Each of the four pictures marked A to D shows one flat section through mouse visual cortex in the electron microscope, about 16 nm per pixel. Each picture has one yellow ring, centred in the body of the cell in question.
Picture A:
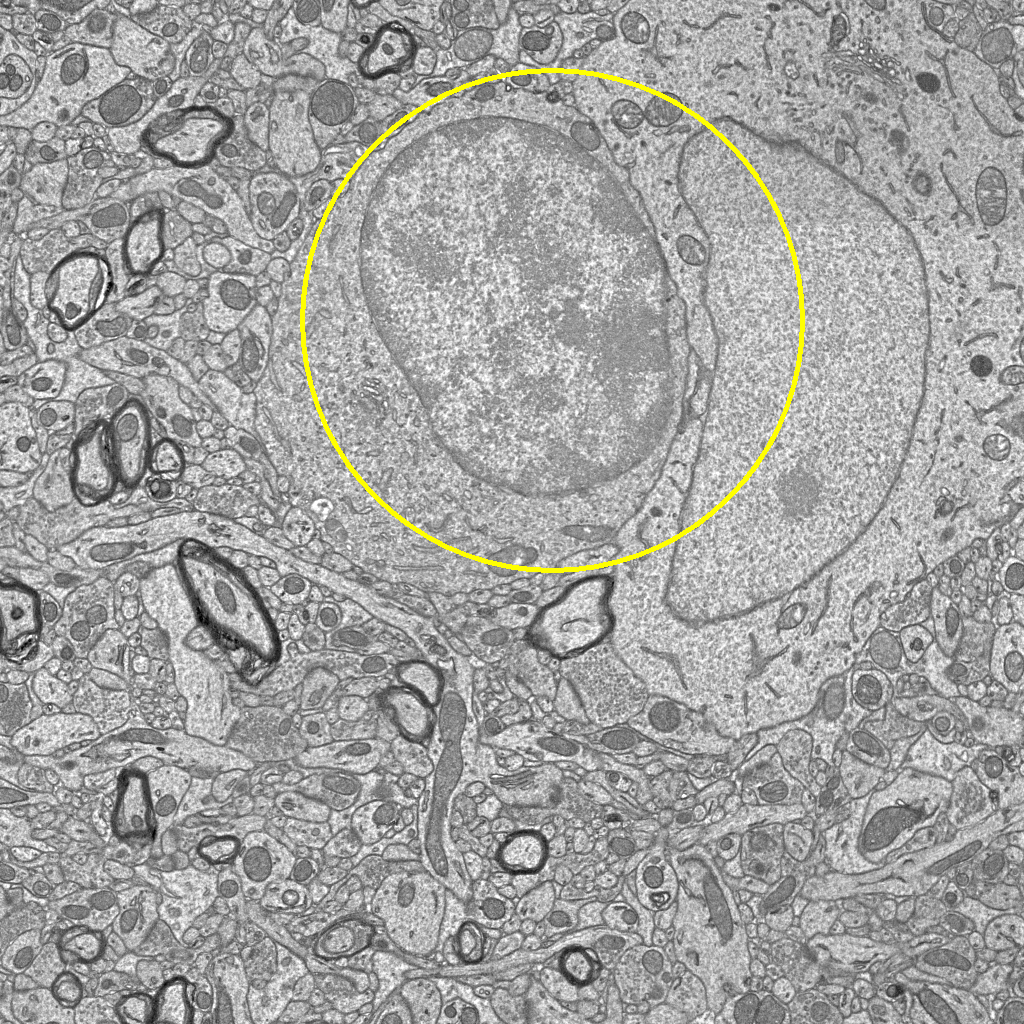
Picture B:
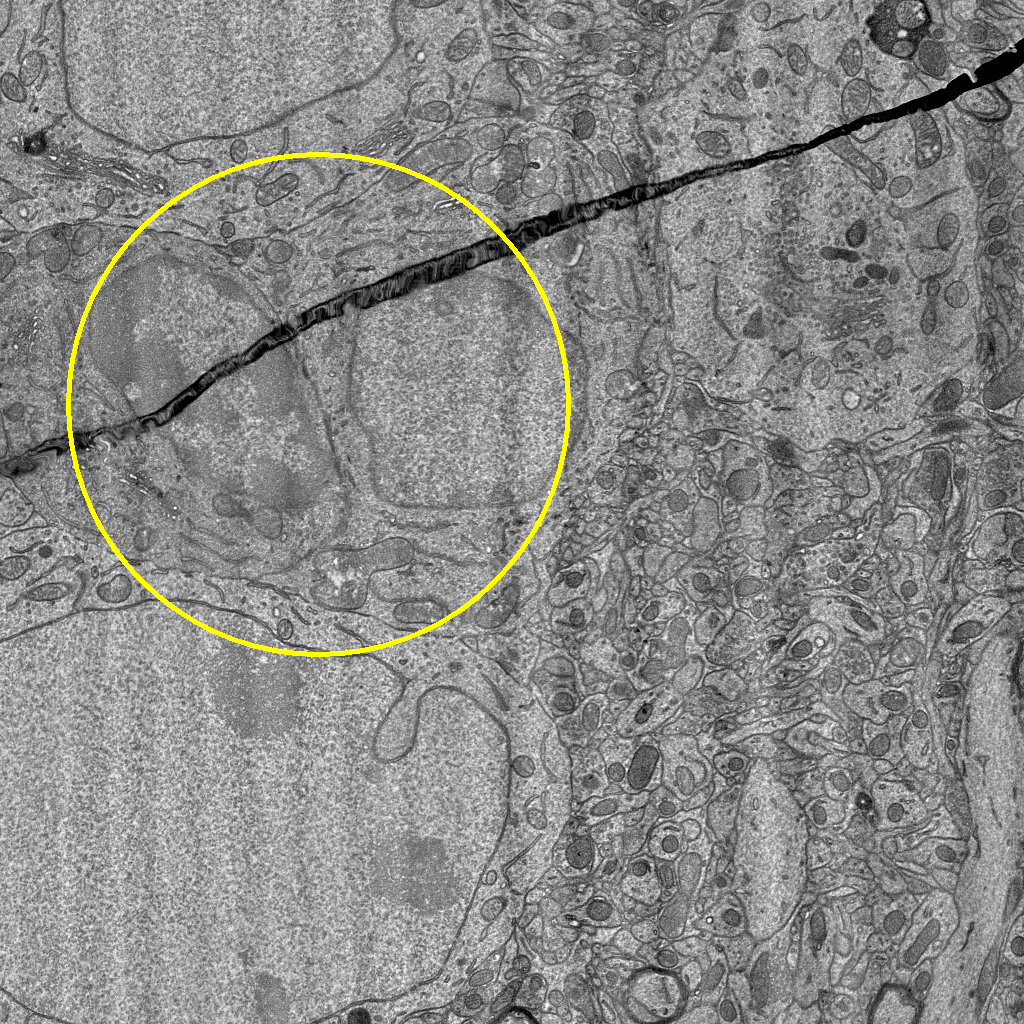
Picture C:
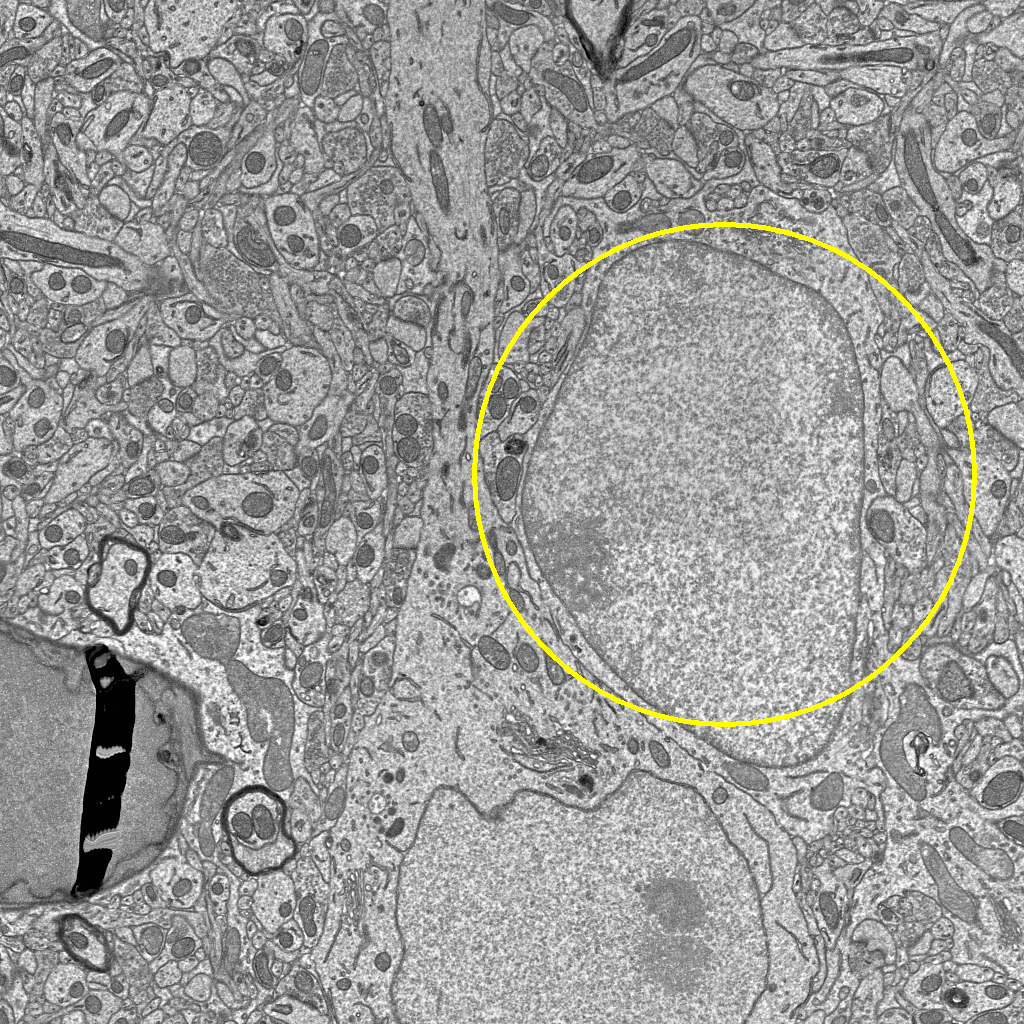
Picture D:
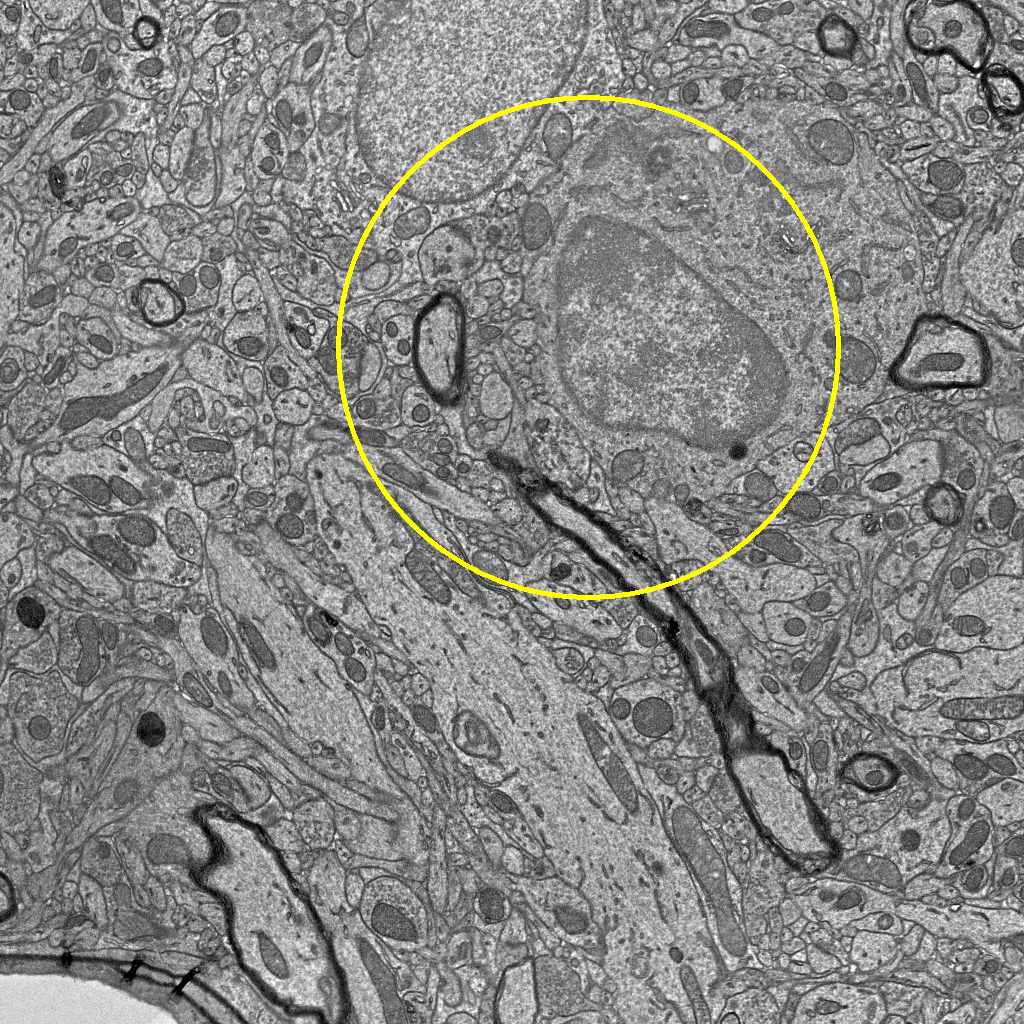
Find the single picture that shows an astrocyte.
Picture C shows the astrocyte.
